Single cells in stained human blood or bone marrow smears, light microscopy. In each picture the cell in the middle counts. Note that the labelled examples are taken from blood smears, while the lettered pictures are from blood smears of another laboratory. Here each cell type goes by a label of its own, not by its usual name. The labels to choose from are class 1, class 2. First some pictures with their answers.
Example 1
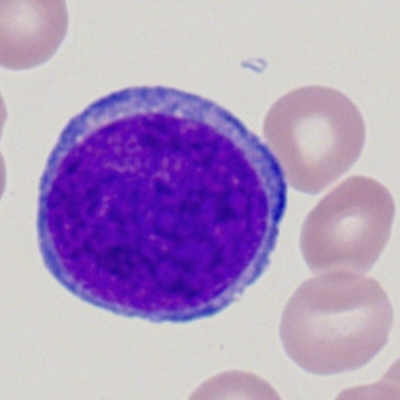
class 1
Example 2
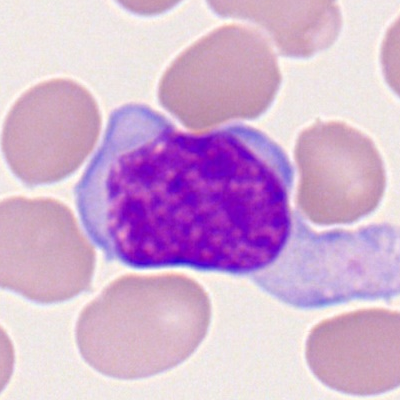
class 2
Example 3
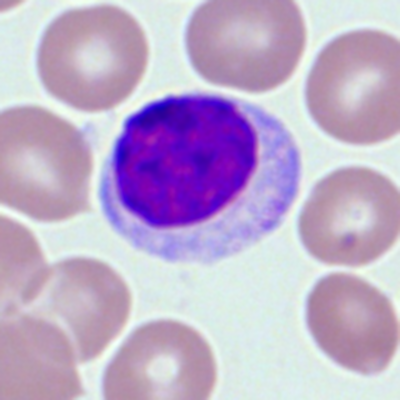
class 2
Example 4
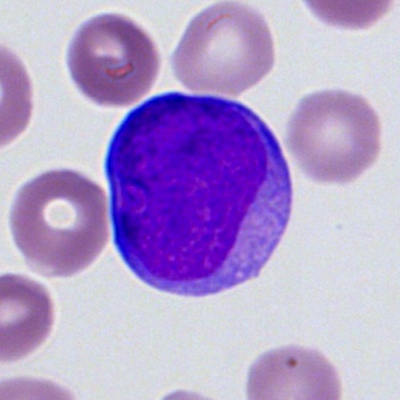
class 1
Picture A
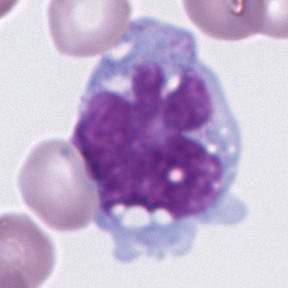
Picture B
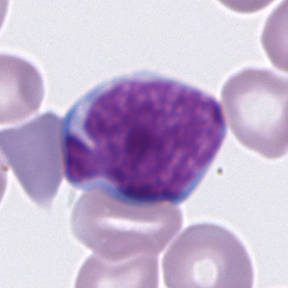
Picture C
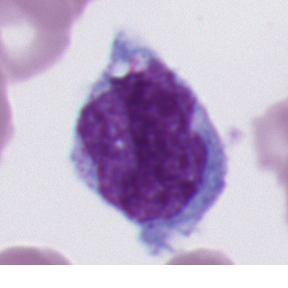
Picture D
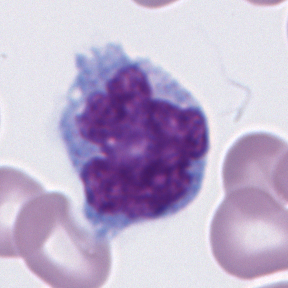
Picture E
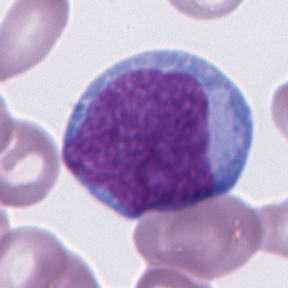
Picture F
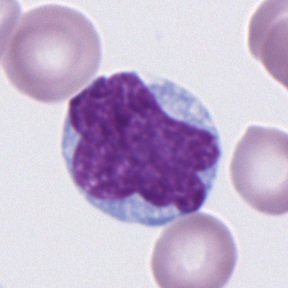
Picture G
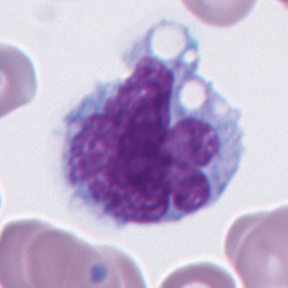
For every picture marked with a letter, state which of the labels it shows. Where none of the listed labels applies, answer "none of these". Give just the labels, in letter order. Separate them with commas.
none of these, class 1, none of these, none of these, class 1, none of these, none of these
